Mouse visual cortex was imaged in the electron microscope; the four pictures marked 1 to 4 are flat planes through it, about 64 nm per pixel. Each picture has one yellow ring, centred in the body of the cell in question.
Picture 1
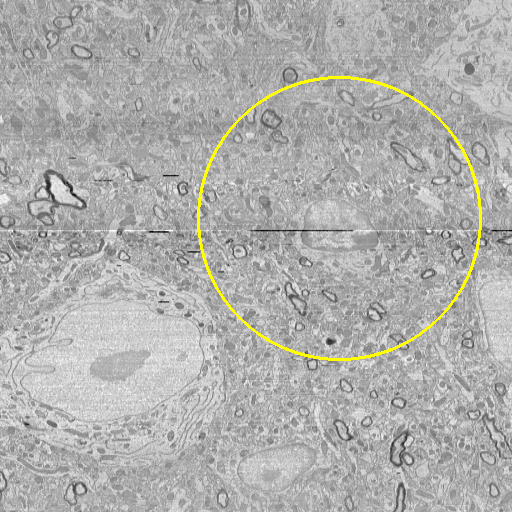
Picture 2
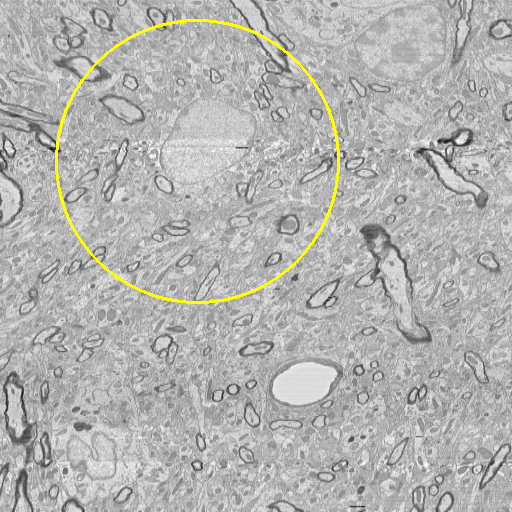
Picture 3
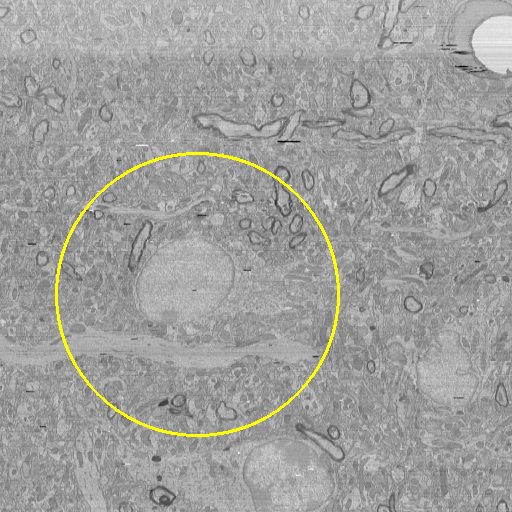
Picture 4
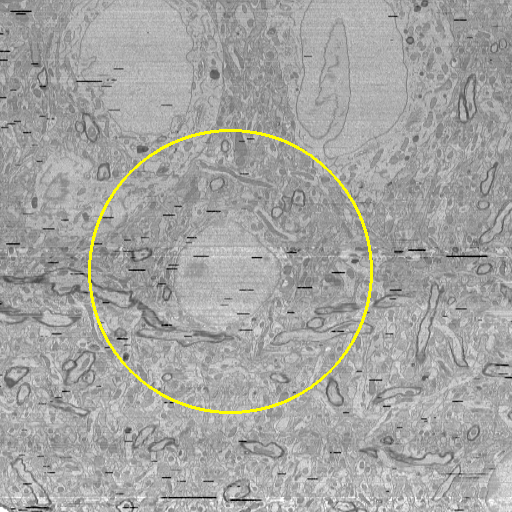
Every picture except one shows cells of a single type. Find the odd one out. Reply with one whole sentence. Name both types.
The different one is picture 1; it shows an oligodendrocyte, whereas all the others show astrocytes.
